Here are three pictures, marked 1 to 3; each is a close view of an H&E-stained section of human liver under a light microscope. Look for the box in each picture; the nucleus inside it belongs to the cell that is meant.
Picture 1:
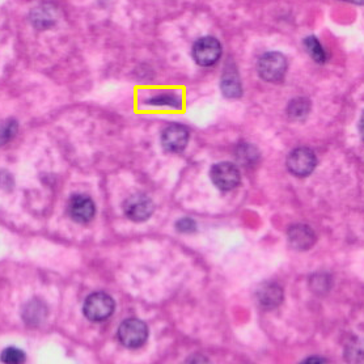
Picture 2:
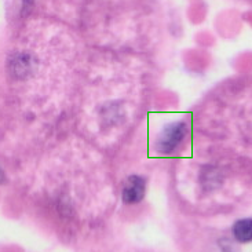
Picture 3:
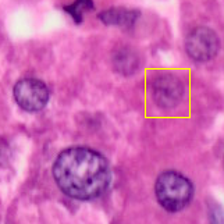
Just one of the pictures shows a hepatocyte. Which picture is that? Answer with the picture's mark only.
3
